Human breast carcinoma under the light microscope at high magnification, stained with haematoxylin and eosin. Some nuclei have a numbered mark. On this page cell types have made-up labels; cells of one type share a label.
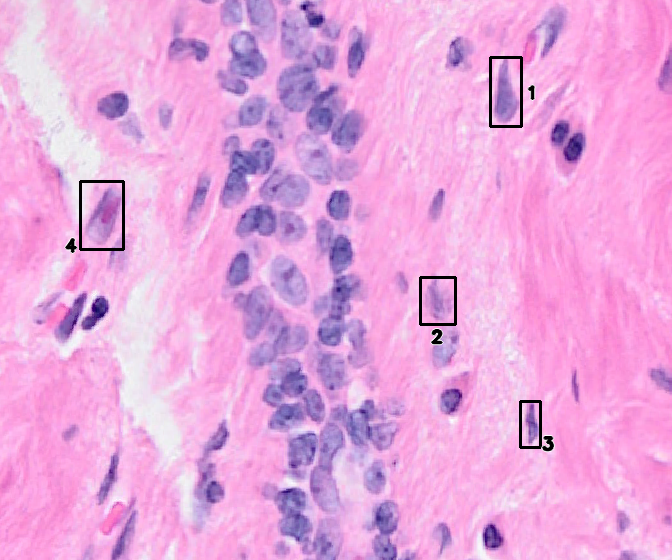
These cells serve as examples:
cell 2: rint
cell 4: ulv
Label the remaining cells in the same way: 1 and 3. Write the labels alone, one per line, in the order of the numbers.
ulv
rint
